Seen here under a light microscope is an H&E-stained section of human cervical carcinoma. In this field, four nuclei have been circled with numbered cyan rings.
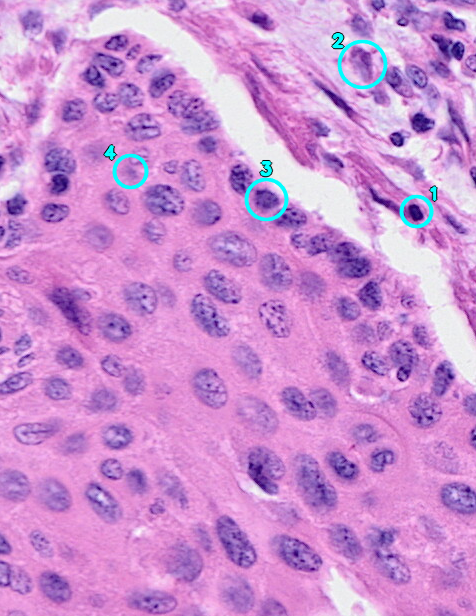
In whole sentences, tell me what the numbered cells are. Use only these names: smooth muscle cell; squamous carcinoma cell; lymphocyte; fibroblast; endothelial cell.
Cell 1 is a lymphocyte. Cell 2 is a fibroblast. Cells 3 and 4 are squamous carcinoma cells.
